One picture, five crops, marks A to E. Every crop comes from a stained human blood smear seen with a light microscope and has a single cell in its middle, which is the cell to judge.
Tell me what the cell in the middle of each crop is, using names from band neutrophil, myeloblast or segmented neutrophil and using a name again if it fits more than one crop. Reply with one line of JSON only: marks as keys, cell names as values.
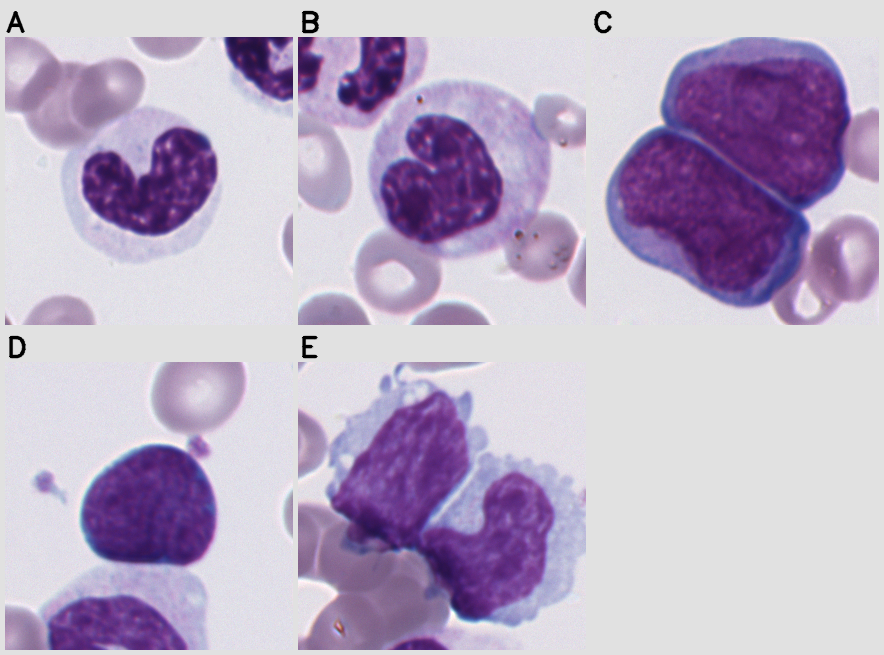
{"A": "band neutrophil", "B": "band neutrophil", "C": "myeloblast", "D": "myeloblast", "E": "myeloblast"}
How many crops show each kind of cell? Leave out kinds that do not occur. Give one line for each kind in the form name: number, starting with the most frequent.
myeloblast: 3
band neutrophil: 2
